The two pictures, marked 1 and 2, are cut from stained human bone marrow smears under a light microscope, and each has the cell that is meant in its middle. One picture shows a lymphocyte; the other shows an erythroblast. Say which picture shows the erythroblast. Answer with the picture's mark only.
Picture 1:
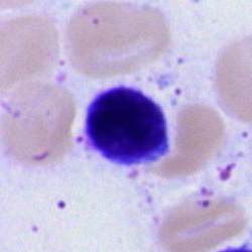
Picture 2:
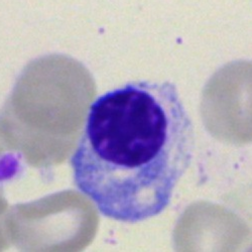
2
